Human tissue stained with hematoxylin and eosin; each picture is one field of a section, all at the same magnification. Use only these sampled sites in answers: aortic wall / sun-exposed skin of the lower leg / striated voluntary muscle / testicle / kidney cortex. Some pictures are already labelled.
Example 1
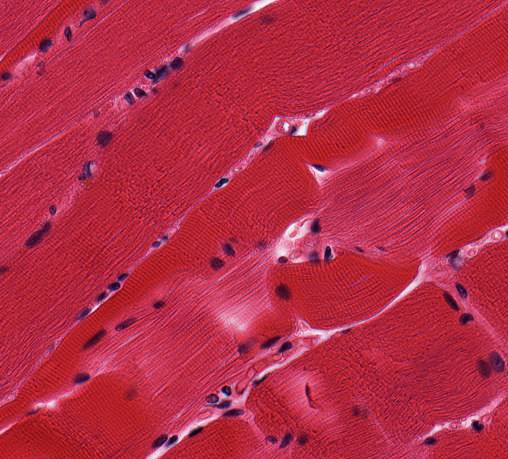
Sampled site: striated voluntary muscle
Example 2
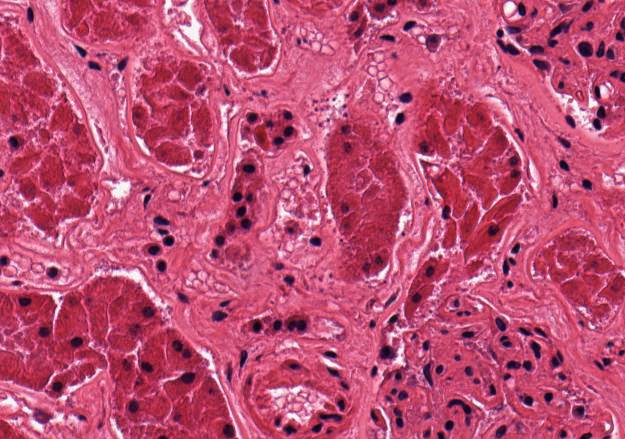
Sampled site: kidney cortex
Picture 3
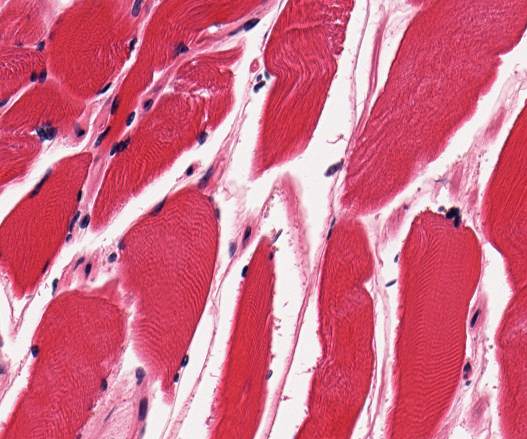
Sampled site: striated voluntary muscle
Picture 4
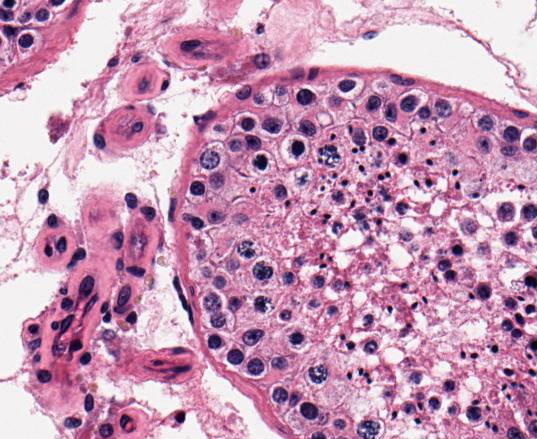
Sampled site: testicle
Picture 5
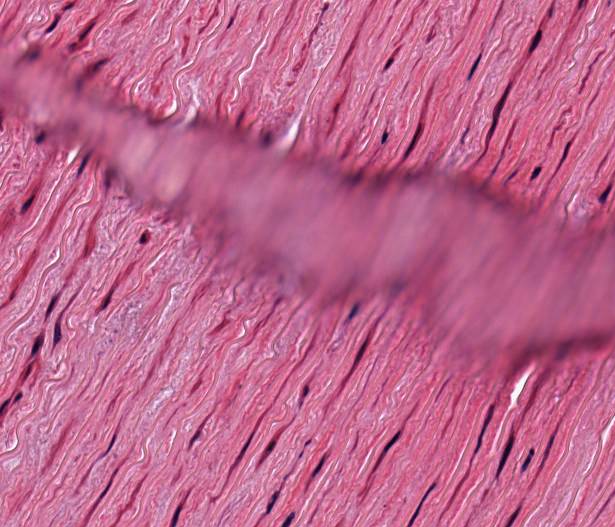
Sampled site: aortic wall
